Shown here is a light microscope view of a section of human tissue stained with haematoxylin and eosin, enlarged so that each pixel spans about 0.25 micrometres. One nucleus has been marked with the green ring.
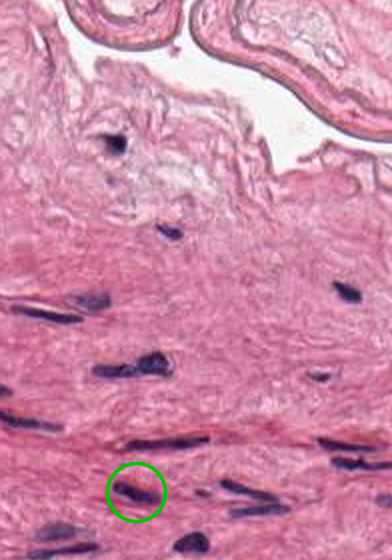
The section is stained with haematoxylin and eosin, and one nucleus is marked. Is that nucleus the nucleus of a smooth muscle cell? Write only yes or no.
yes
